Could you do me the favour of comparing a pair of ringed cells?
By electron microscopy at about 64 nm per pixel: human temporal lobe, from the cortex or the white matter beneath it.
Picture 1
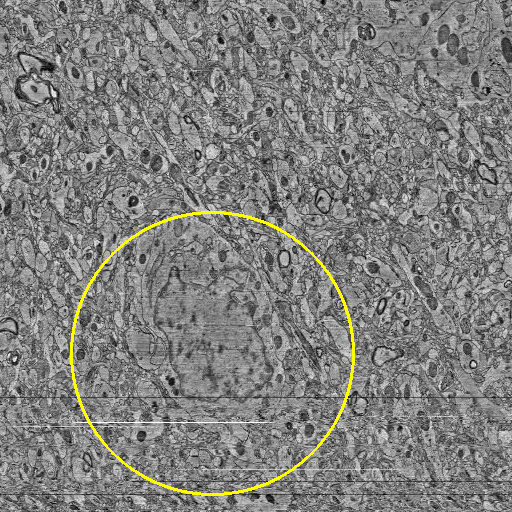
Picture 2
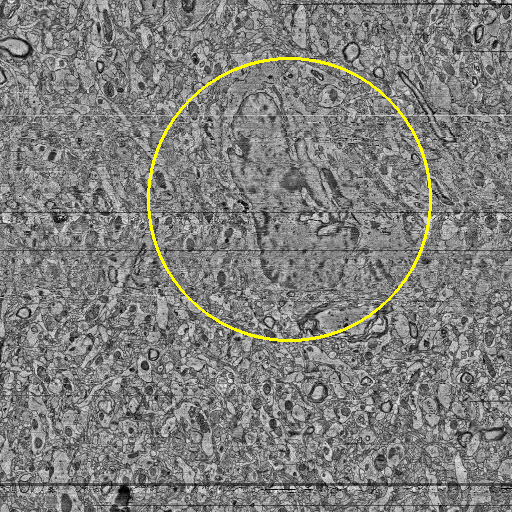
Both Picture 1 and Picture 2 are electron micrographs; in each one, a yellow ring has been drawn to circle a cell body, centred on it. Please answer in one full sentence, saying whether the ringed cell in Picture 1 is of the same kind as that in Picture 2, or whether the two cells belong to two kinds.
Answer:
The ringed cells in Picture 1 and Picture 2 belong to two kinds.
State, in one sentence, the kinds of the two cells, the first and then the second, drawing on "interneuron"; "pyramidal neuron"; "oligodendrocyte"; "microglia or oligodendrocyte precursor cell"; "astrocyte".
The ring in the second picture is centred on a microglial cell or oligodendrocyte precursor cell, the ring in the first on an interneuron.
